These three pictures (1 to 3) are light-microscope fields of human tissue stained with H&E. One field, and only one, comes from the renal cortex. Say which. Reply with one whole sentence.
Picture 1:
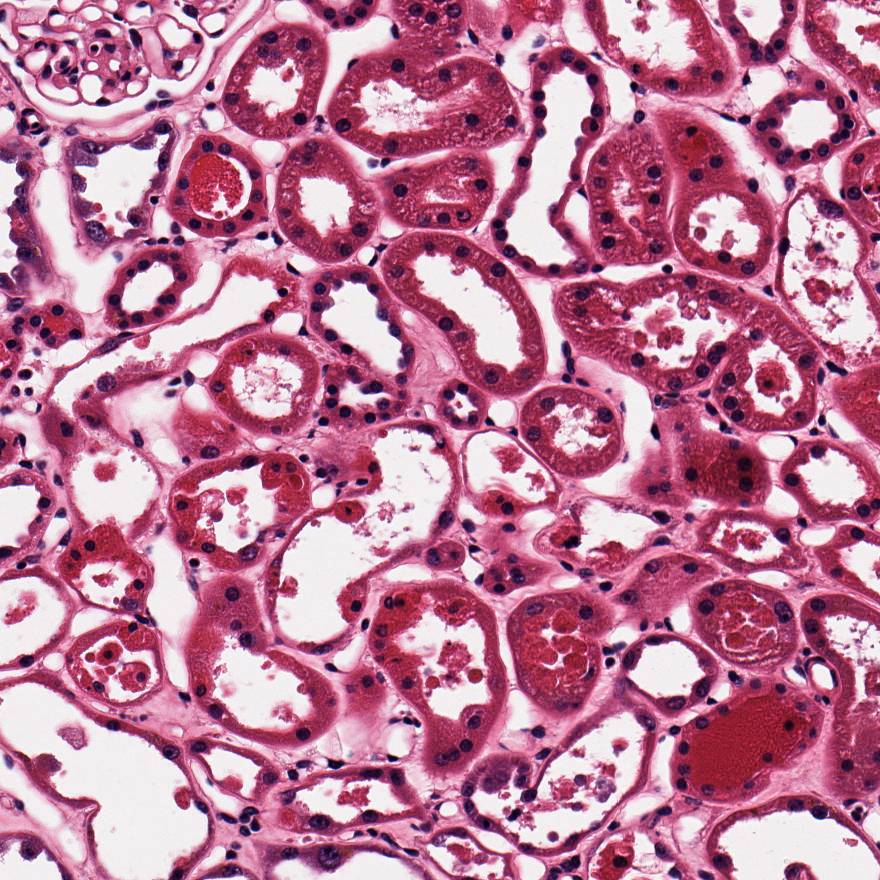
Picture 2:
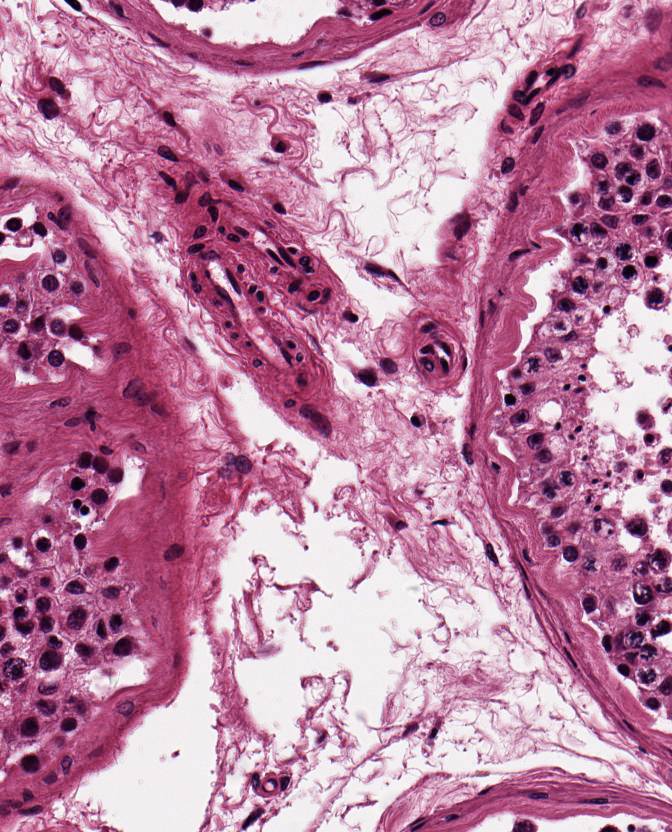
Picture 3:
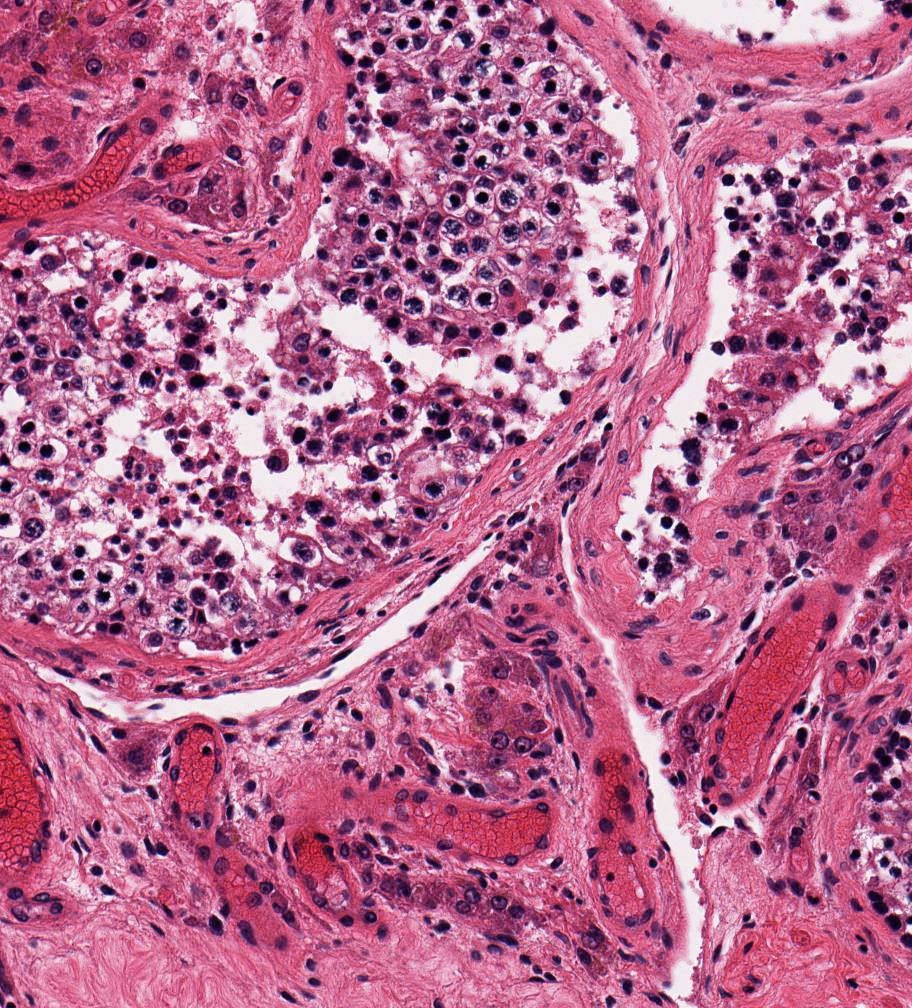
It is picture 1 that comes from the renal cortex.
